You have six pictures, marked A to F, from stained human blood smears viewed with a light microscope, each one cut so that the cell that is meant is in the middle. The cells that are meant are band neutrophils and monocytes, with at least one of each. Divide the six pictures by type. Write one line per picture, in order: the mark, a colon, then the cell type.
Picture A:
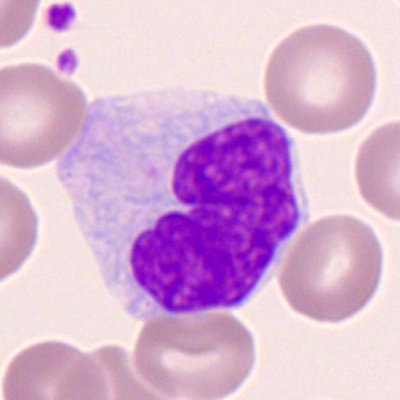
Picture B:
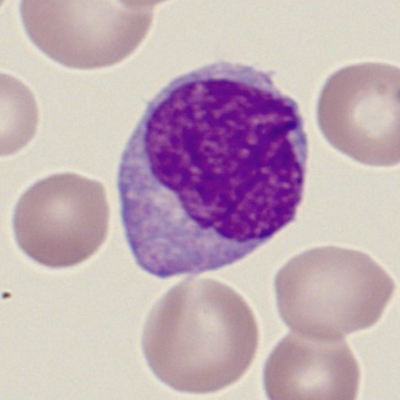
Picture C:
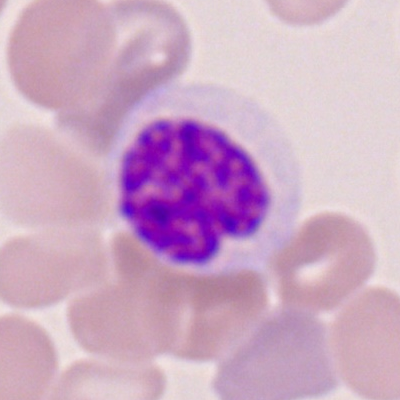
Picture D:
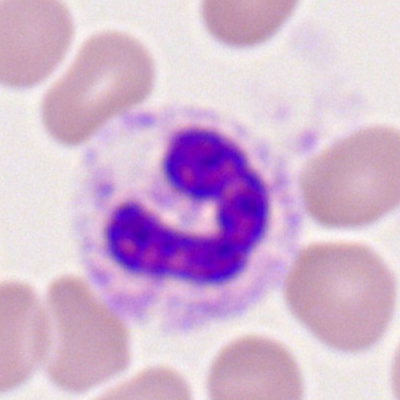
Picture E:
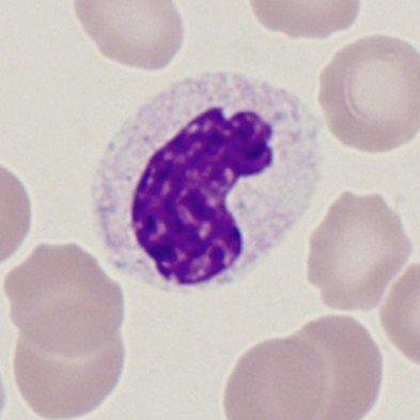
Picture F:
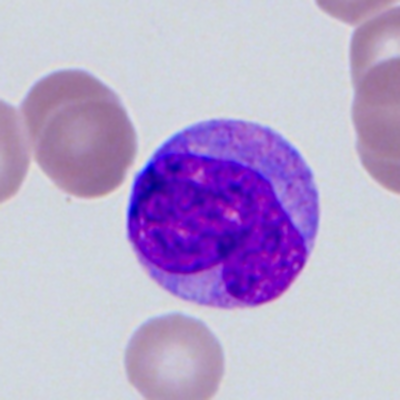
A: monocyte
B: monocyte
C: band neutrophil
D: band neutrophil
E: band neutrophil
F: monocyte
